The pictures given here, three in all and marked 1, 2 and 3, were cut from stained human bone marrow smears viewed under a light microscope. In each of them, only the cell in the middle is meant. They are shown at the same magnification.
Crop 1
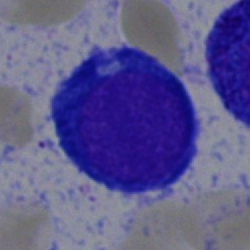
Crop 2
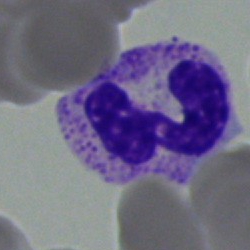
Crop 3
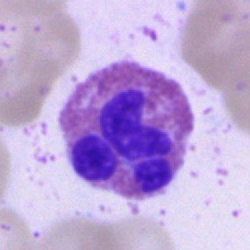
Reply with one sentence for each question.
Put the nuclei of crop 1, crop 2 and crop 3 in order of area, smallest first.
Going up, they run 3, 2, 1.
